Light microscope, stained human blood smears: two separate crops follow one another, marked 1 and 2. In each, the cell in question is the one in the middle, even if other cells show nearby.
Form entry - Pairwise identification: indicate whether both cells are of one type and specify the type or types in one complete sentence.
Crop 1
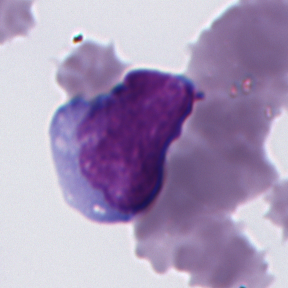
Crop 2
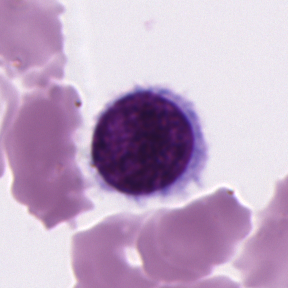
No, crop 1 shows a blast, and it is crop 2 that shows a hairy cell.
